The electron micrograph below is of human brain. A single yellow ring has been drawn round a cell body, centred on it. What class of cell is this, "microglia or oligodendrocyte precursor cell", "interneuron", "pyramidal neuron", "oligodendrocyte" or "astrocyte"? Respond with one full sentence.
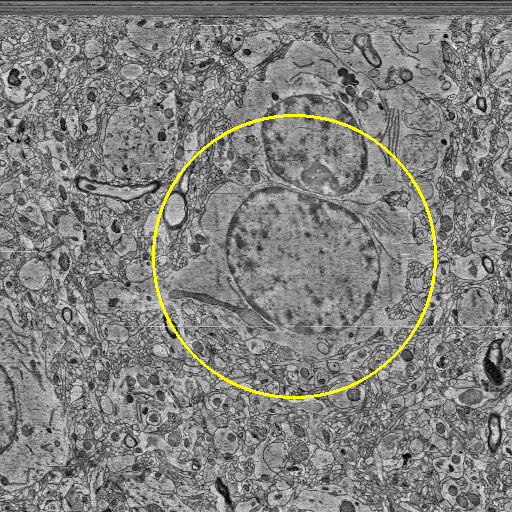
In the micrograph, the cell centred inside the yellow ring is an astrocyte.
